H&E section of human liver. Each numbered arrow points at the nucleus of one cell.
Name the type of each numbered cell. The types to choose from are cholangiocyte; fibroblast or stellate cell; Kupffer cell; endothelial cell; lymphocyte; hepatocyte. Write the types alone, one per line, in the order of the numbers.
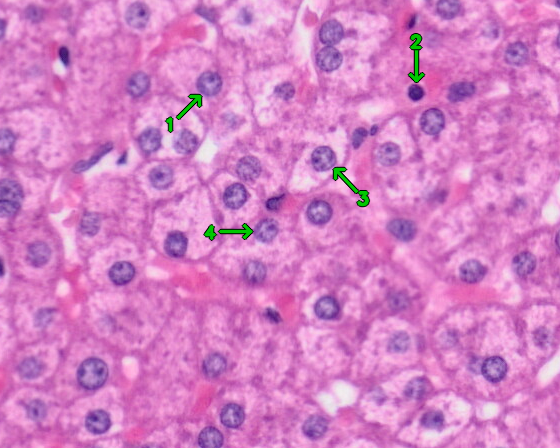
hepatocyte
lymphocyte
hepatocyte
hepatocyte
